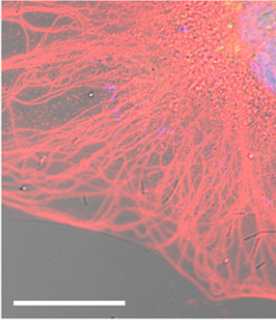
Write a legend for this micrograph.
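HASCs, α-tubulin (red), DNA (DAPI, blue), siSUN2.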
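Part of a flattened cultured cell shows a dense network of microtubules stained red. Long, continuous red filaments run across the cytoplasm in many directions and crowd around the blue-stained oval nucleus at the upper right. The fibers look intact, with few breaks, and extend toward the cell edges.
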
